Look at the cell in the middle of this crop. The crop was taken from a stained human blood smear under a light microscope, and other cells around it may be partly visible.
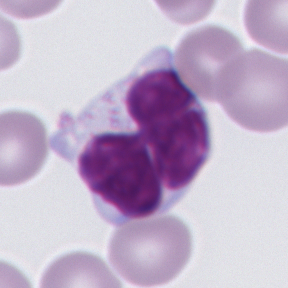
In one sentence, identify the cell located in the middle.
The middle position in this crop is taken by a large granular lymphocyte.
